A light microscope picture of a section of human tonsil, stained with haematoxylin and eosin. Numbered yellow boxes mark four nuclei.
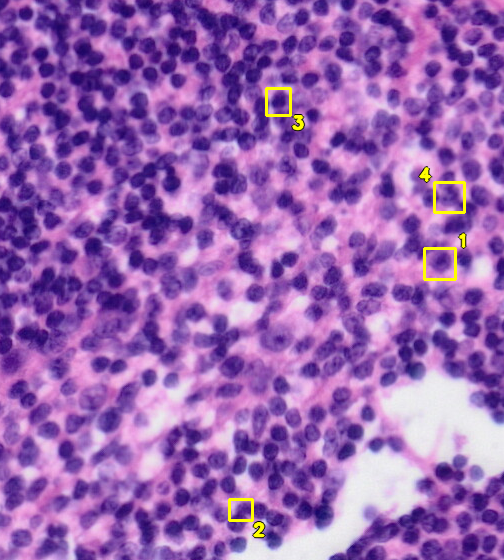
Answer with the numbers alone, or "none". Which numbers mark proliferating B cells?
1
